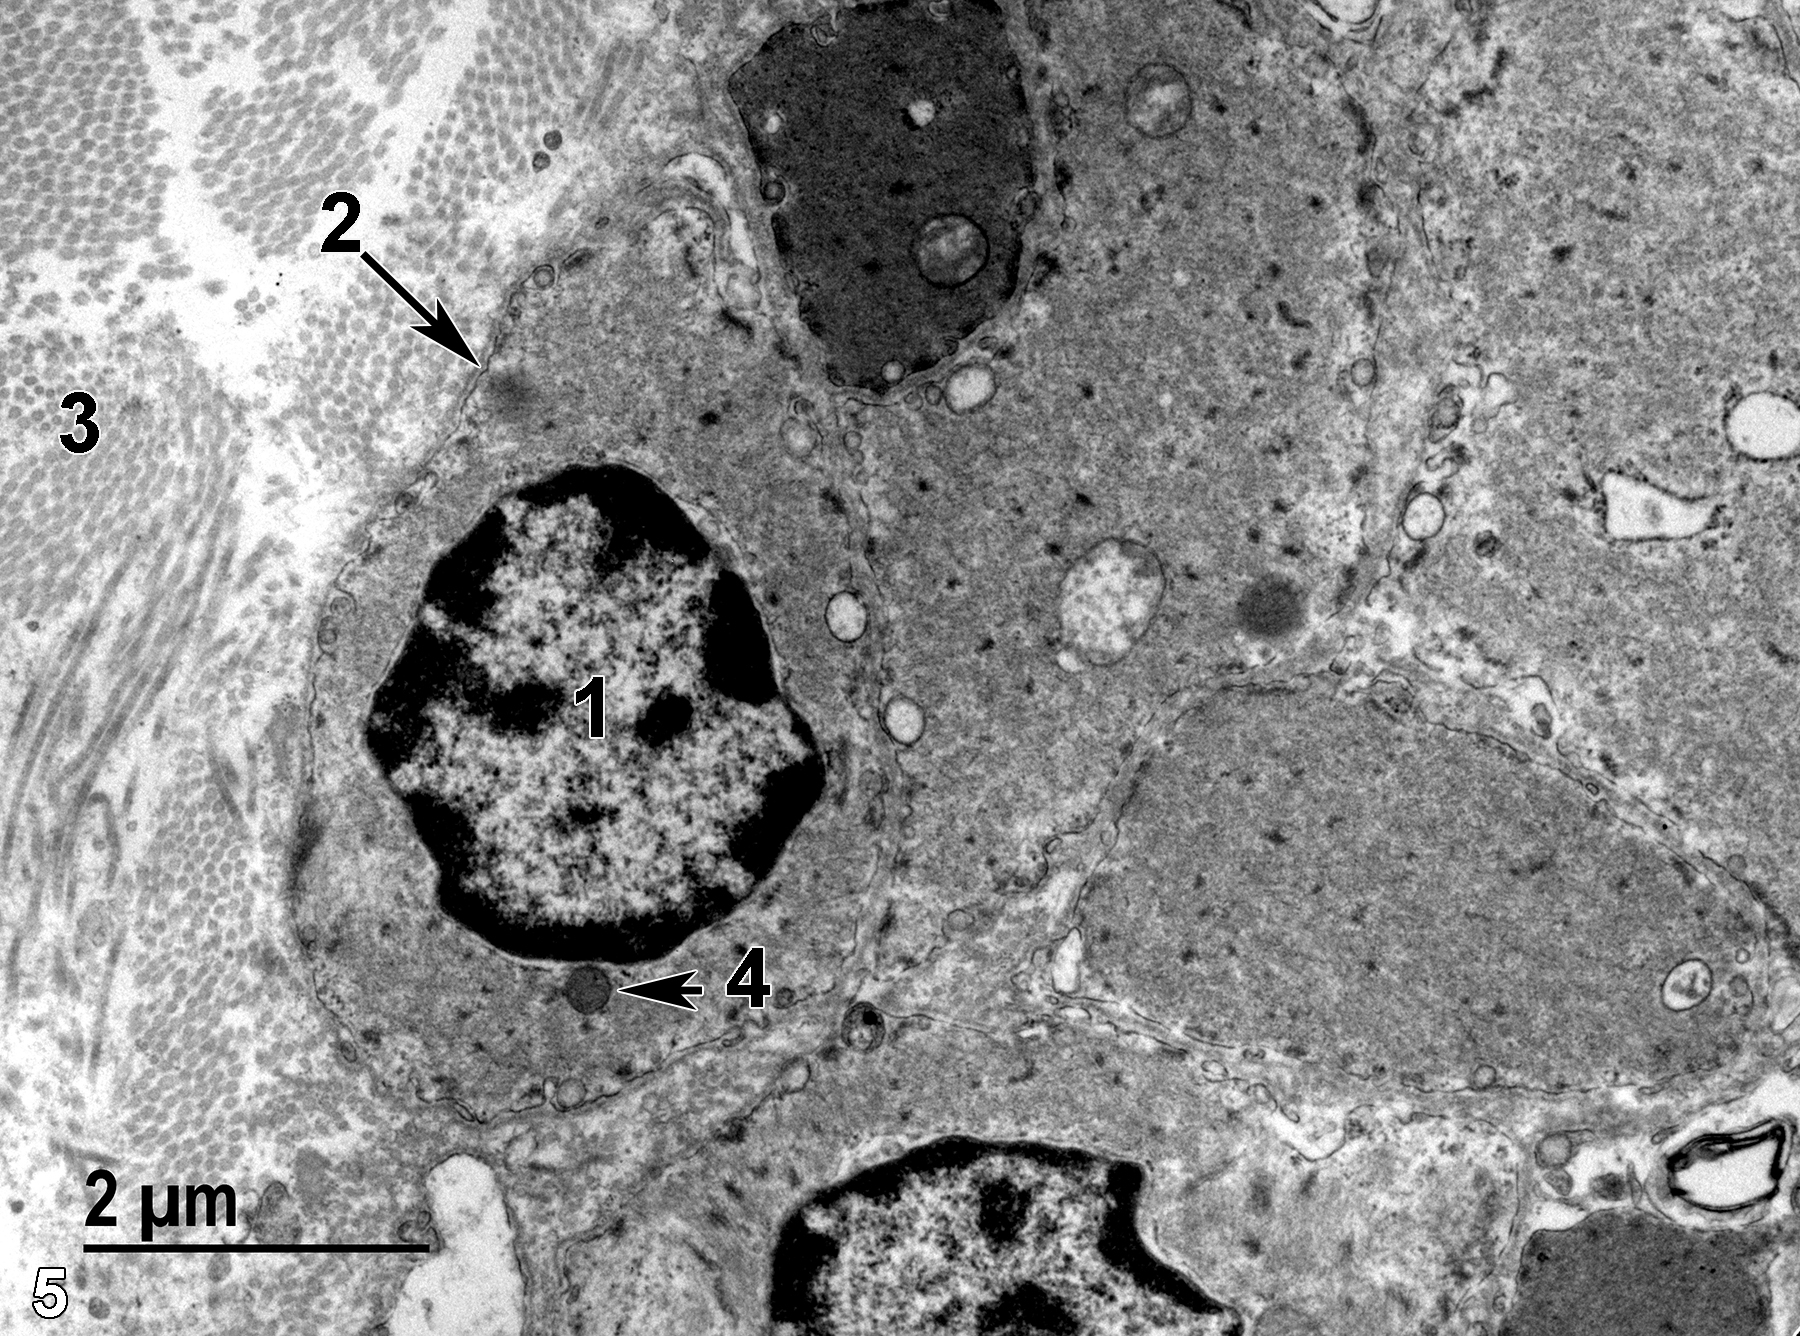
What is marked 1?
nucleus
